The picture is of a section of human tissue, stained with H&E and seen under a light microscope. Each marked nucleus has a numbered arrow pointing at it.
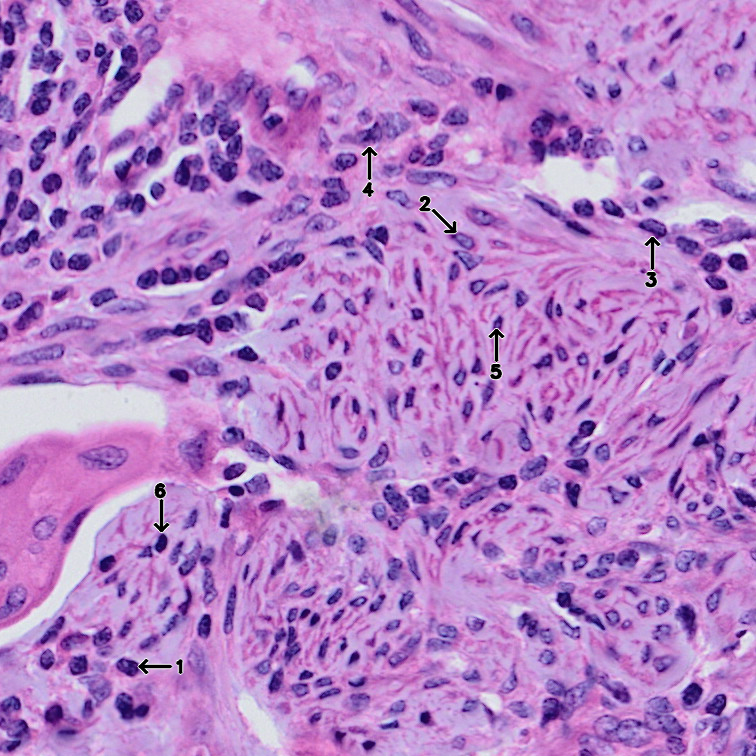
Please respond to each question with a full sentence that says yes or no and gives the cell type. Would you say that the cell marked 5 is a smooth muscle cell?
Yes, what number 5 marks is a smooth muscle cell.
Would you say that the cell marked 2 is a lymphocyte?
No, it is a smooth muscle cell, not a lymphocyte, that number 2 marks.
